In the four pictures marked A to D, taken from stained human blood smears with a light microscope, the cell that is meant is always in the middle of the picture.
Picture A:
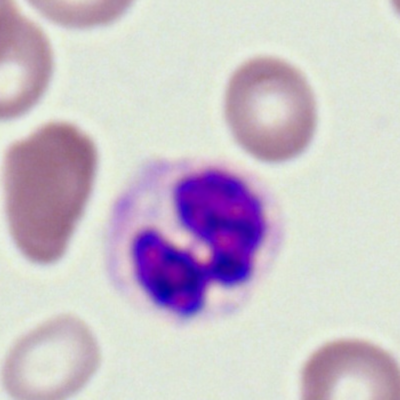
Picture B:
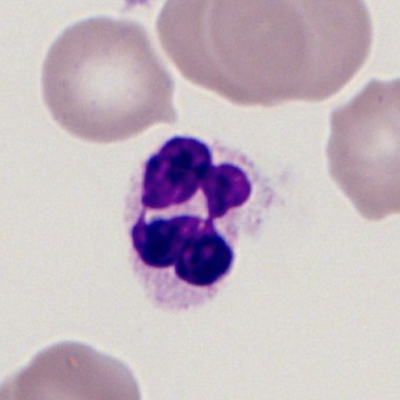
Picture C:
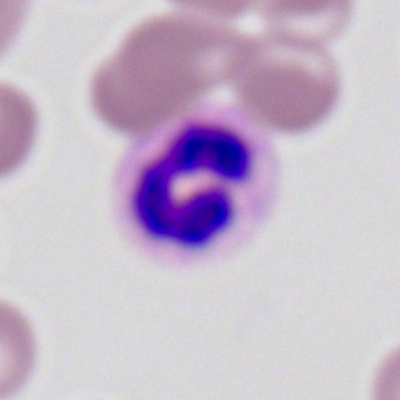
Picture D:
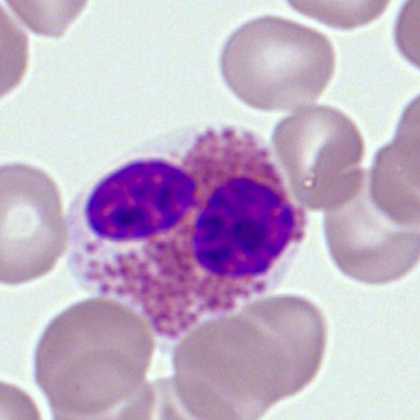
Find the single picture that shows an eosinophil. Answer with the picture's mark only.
D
